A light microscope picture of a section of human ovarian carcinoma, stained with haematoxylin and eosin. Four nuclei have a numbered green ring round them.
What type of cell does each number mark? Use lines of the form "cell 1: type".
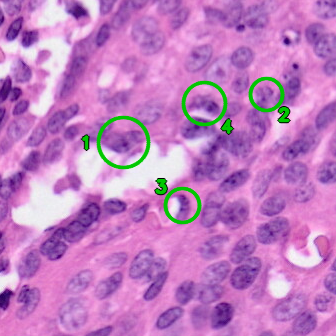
cell 1: carcinoma cell
cell 2: carcinoma cell
cell 3: endothelial cell
cell 4: carcinoma cell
